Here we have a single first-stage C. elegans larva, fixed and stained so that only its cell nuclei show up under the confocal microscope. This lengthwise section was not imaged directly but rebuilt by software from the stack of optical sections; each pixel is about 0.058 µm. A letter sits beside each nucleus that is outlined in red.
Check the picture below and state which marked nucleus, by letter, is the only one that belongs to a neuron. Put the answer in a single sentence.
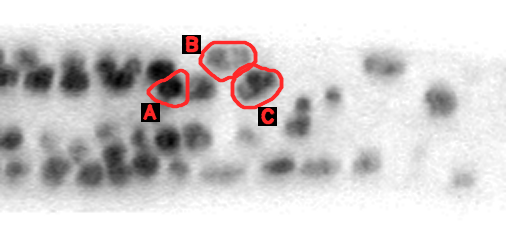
The one from a neuron is A.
